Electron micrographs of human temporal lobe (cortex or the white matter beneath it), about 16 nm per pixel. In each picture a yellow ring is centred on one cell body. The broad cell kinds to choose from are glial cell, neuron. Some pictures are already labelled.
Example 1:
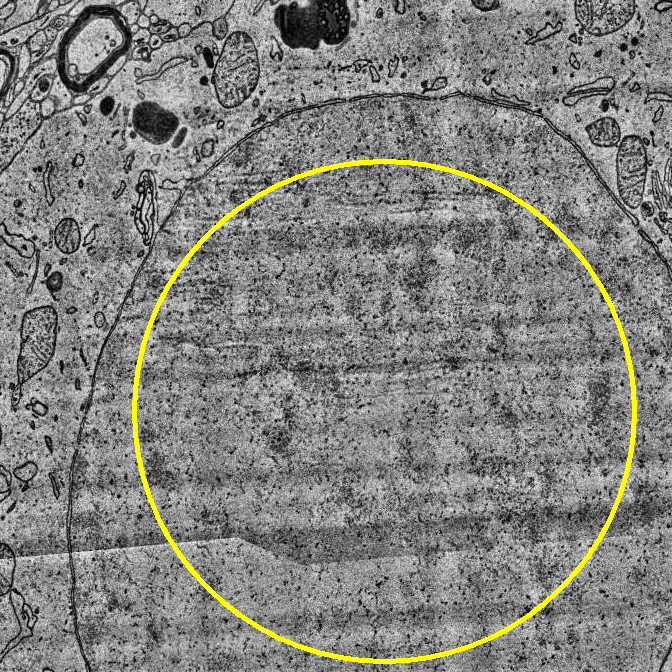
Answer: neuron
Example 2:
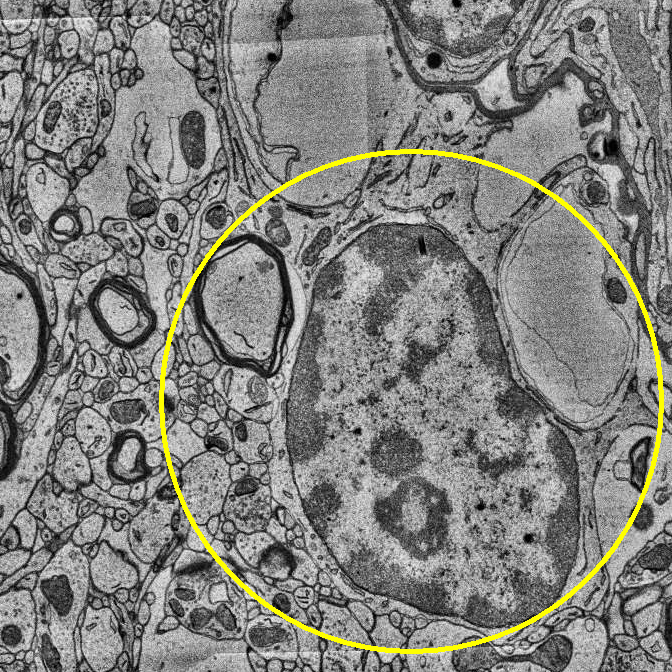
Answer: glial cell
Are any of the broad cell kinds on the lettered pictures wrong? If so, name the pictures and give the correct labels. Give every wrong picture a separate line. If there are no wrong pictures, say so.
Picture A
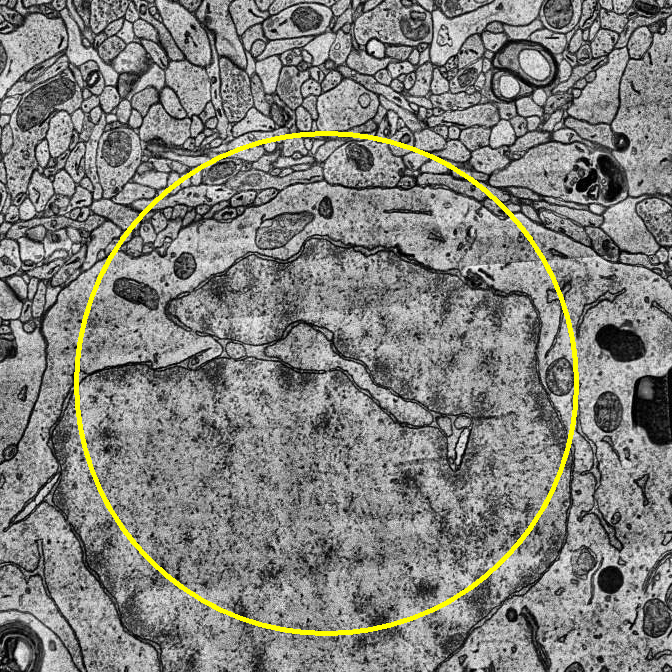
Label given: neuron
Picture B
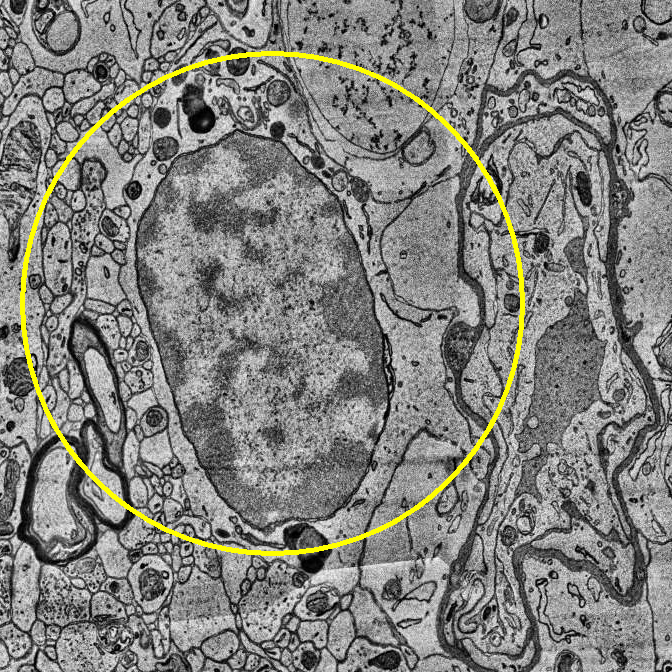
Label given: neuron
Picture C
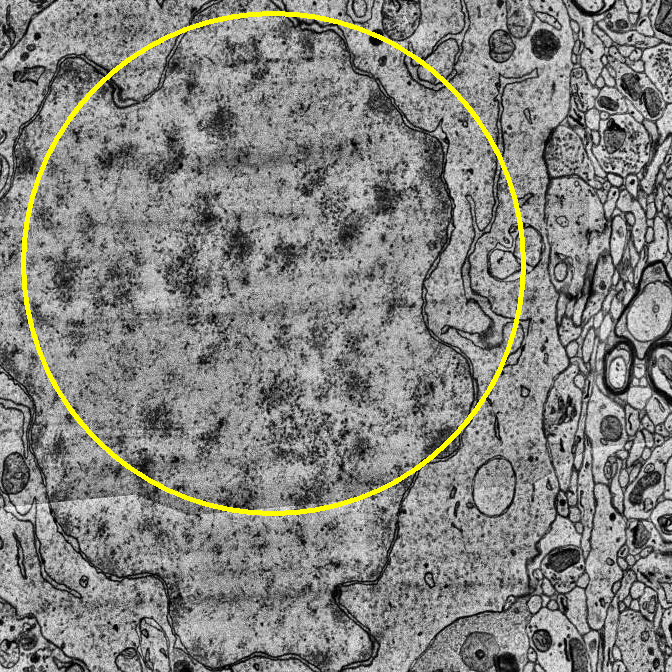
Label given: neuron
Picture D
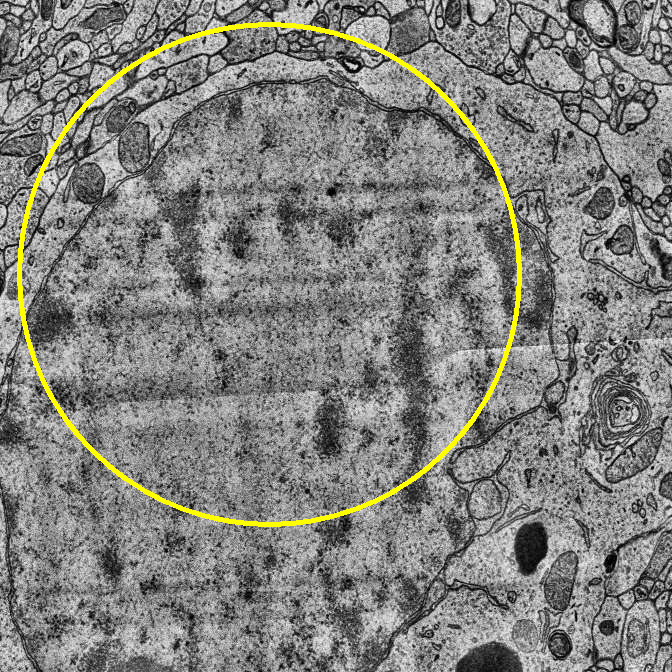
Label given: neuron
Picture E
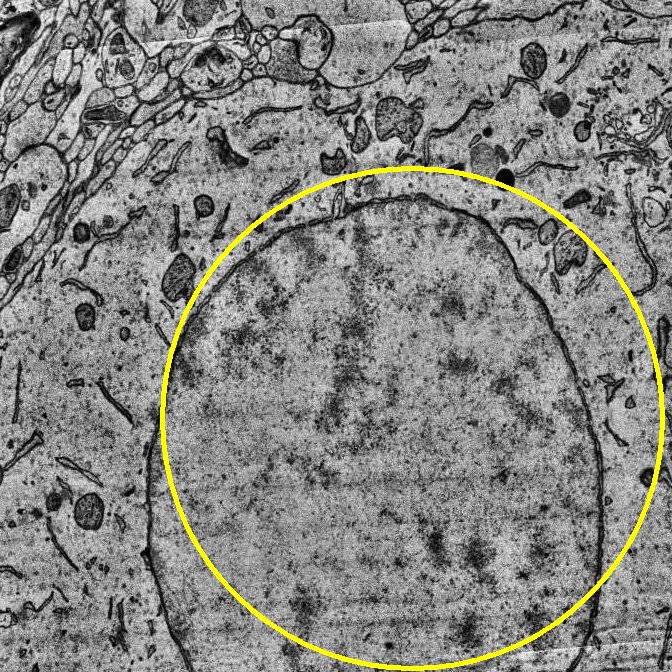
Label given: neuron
B: change neuron to glial cell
